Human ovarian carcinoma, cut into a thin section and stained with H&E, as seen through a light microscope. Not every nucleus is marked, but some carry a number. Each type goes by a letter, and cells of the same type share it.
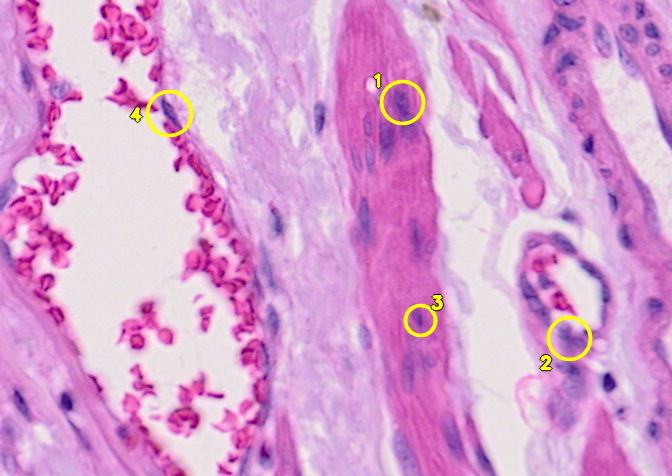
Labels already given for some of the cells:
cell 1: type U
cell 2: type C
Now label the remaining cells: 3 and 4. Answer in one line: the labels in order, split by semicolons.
type U; type C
